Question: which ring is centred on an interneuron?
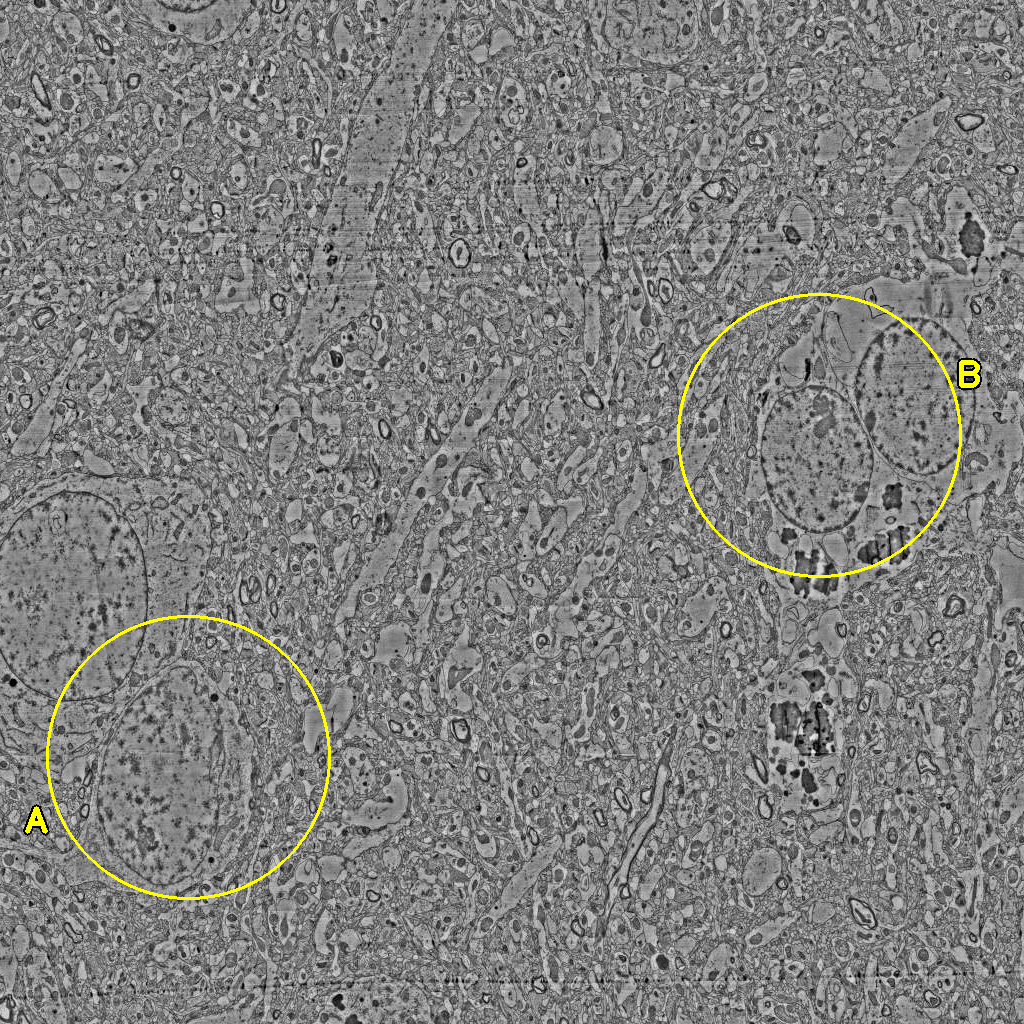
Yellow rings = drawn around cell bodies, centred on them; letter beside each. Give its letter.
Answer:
A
